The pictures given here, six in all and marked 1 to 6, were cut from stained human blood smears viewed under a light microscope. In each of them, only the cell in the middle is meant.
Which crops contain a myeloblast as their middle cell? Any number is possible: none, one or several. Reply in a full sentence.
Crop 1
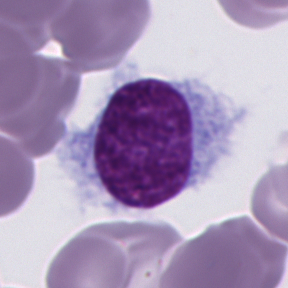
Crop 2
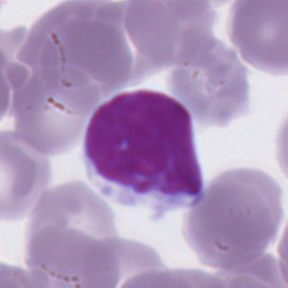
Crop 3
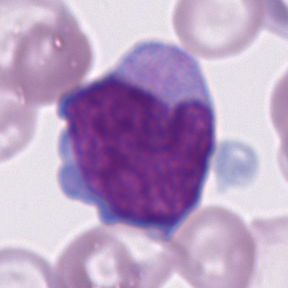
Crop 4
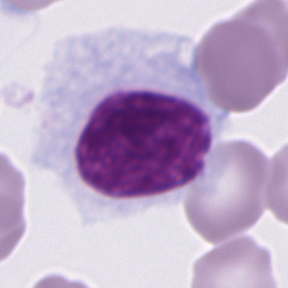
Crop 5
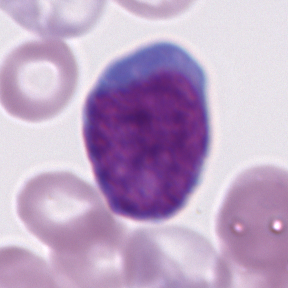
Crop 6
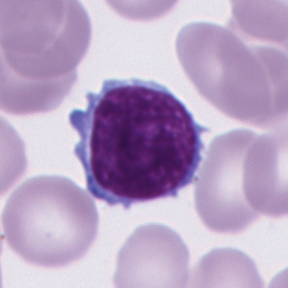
The cells centred in crops 3 and 5 are myeloblasts.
